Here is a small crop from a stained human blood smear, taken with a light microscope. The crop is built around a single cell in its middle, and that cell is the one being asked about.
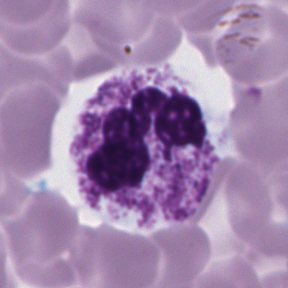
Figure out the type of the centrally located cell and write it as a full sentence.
Whatever else lies nearby, the middle cell is a segmented neutrophil.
